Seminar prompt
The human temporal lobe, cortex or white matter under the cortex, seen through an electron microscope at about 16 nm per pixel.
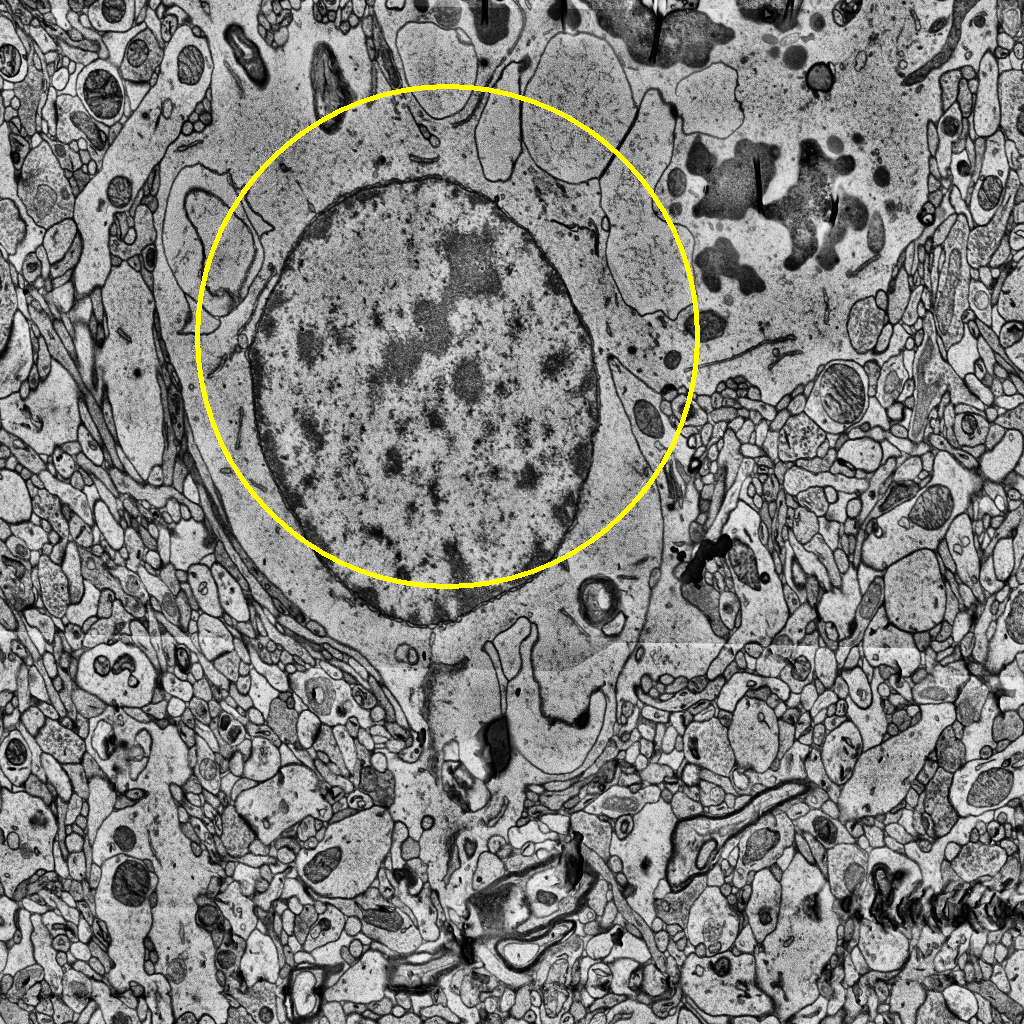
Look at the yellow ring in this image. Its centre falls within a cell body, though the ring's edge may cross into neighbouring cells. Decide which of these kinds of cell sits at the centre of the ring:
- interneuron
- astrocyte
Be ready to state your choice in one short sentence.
The kind of cell at the ring's centre is an astrocyte.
